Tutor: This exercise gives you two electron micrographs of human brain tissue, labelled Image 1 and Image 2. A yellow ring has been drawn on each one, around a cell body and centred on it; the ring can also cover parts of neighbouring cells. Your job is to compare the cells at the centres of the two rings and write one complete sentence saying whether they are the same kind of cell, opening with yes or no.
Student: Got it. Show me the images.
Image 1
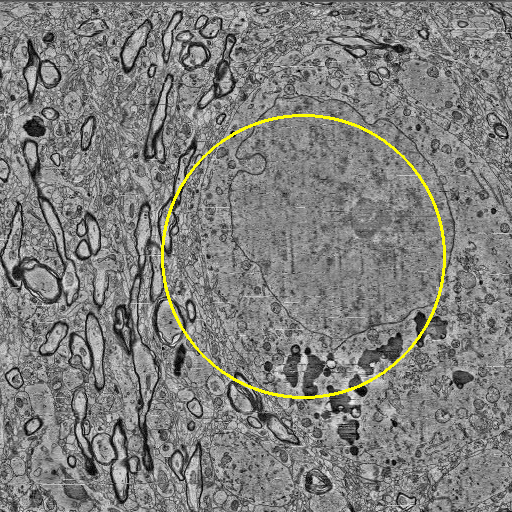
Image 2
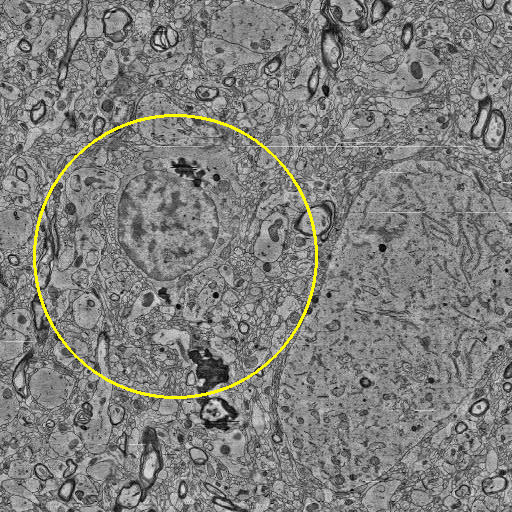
No, the two cells belong to two kinds.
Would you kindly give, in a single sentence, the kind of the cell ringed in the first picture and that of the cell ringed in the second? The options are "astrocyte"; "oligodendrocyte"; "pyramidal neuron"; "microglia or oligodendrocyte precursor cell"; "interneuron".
The second cell is an oligodendrocyte, and the first cell is a pyramidal neuron.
